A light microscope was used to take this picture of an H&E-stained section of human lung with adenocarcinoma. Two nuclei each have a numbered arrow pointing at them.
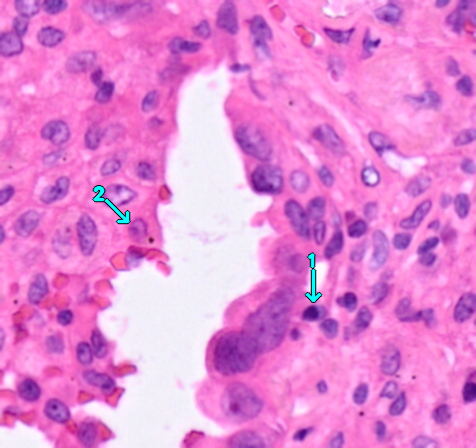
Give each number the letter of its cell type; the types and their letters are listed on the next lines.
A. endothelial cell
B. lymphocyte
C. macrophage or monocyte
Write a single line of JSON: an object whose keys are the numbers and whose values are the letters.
{"1": "B", "2": "C"}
